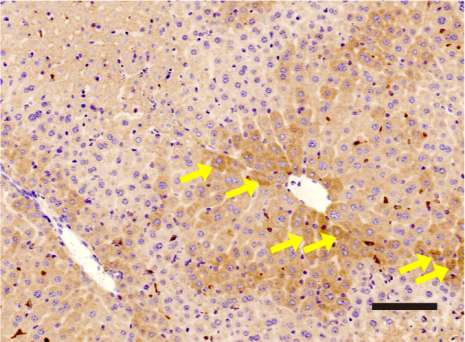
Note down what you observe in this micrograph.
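This is liver parenchyma with cords of large polygonal hepatocytes, each with a round blue central nucleus and pale brown cytoplasm. Around a central round vessel and in neighbouring areas, wide bands of hepatocytes have noticeably darker brown cytoplasm than the cells farther away, forming patchy zones of stronger staining. Scattered between the cords are small, irregular, intensely dark brown cells consistent with macrophages lying in the sinusoids. At the left edge an elongated vessel cuts across the field. The darker zones spread outward from the vessels rather than being evenly distributed.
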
